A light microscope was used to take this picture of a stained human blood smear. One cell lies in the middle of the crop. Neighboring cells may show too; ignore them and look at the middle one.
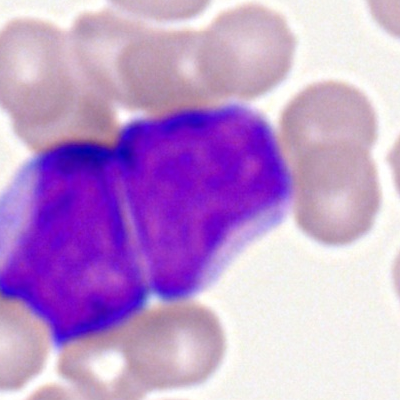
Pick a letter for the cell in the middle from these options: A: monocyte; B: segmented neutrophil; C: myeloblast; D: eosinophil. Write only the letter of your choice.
C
